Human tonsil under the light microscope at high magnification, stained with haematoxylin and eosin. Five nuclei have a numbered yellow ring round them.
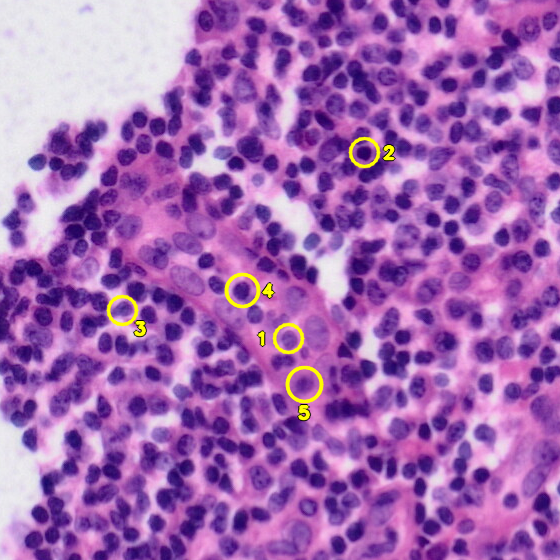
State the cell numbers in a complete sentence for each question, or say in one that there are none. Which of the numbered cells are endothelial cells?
The cells that have numbers 1, 4 and 5 are endothelial cells.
